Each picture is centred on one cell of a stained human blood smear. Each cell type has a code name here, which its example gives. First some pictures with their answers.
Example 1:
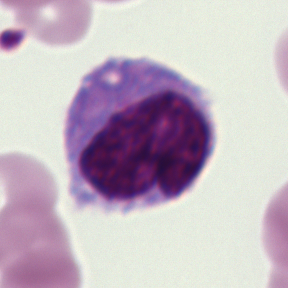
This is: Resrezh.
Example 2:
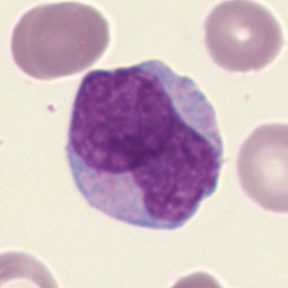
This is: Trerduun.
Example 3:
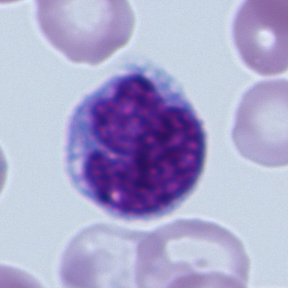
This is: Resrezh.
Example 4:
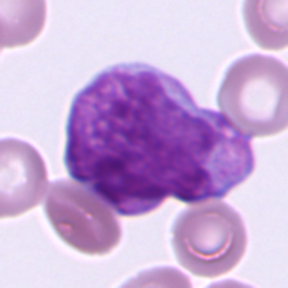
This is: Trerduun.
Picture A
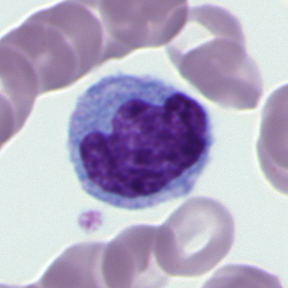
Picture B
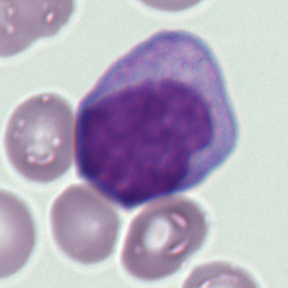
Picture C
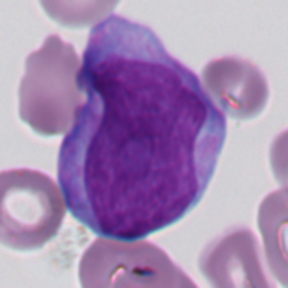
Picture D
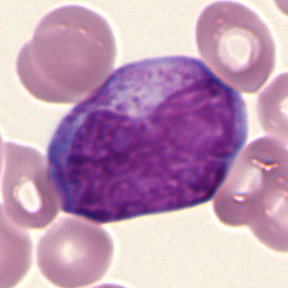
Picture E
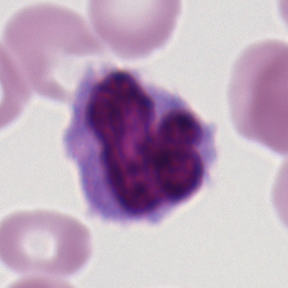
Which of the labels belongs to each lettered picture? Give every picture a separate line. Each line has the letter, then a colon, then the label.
A: Resrezh.
B: Trerduun.
C: Trerduun.
D: Trerduun.
E: Resrezh.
